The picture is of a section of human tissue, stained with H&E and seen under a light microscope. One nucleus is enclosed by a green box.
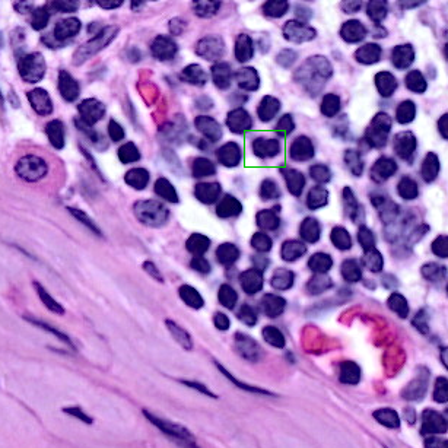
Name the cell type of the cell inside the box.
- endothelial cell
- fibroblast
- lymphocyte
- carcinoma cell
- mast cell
lymphocyte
